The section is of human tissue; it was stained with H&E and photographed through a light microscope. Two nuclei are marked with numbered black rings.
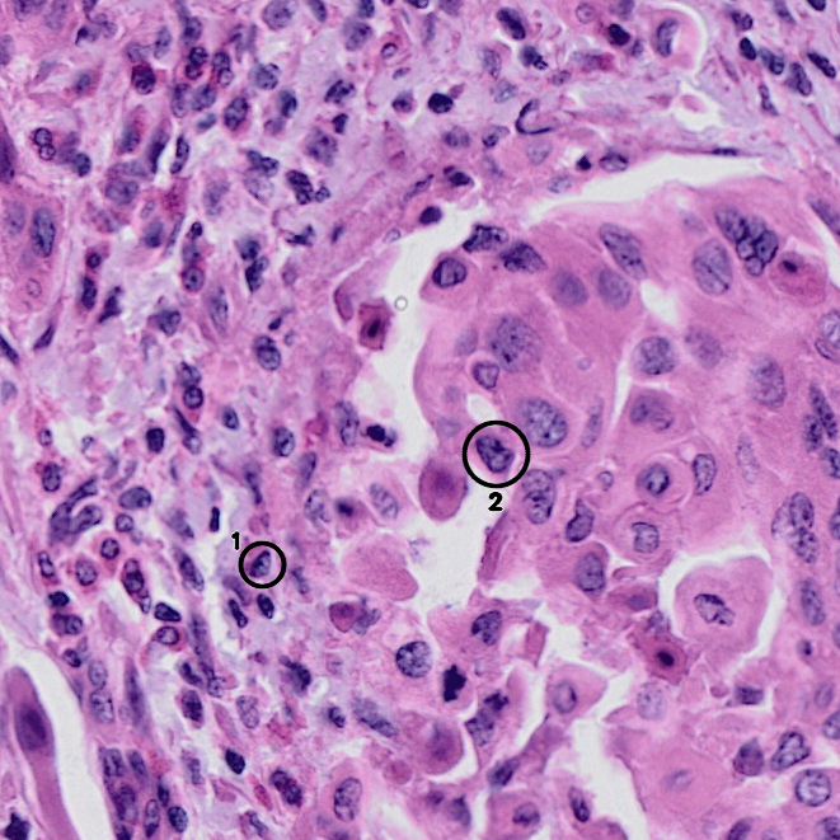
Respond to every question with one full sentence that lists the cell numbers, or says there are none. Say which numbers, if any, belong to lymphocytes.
Cell 1 is the only numbered cell that is a lymphocyte.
